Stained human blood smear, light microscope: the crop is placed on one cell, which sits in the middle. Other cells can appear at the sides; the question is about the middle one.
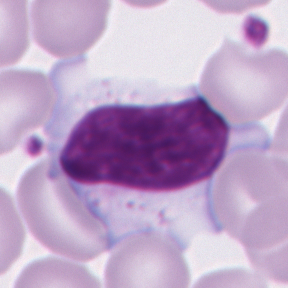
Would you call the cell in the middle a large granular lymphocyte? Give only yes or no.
yes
